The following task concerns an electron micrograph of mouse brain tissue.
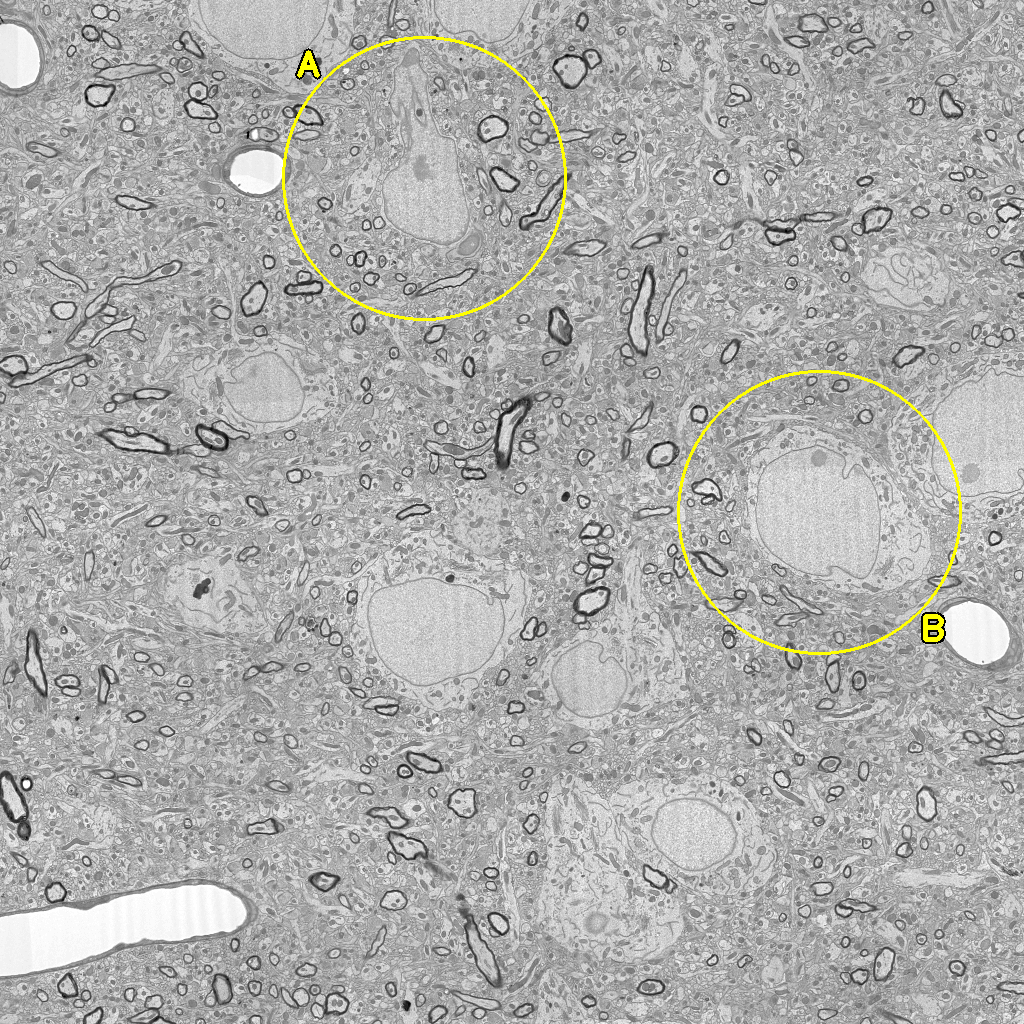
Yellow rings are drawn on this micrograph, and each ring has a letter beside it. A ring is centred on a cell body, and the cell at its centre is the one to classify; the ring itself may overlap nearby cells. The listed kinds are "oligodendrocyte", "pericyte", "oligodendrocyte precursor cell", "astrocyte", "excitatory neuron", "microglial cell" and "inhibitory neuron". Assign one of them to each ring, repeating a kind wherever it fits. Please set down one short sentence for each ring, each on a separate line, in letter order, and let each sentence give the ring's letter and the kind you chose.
The cell ringed as A is an oligodendrocyte precursor cell.
The cell ringed as B is an excitatory neuron.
